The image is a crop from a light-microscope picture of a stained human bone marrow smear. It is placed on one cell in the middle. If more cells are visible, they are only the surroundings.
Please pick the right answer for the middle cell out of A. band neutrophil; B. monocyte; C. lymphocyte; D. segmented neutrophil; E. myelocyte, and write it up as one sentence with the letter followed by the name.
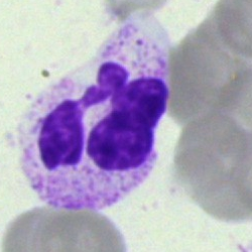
Option D is correct; the cell in the middle is a segmented neutrophil.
